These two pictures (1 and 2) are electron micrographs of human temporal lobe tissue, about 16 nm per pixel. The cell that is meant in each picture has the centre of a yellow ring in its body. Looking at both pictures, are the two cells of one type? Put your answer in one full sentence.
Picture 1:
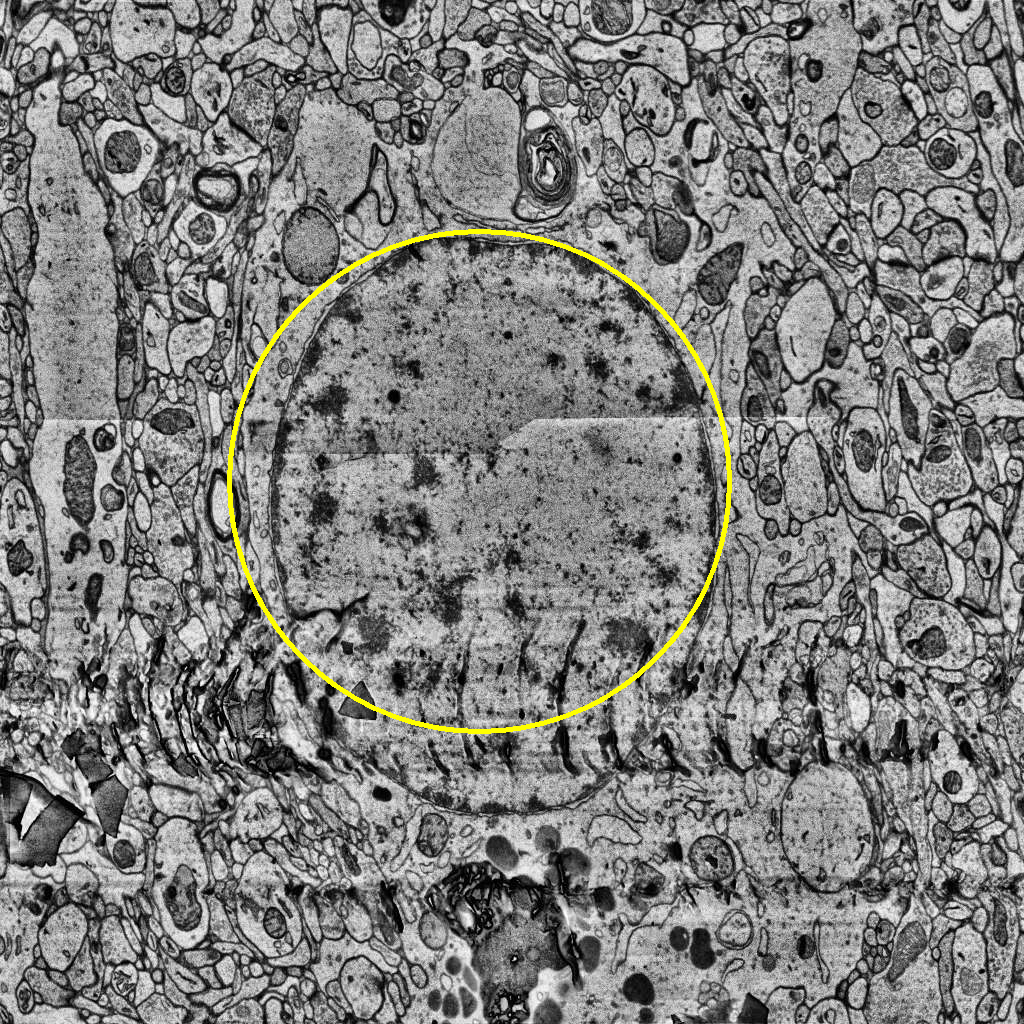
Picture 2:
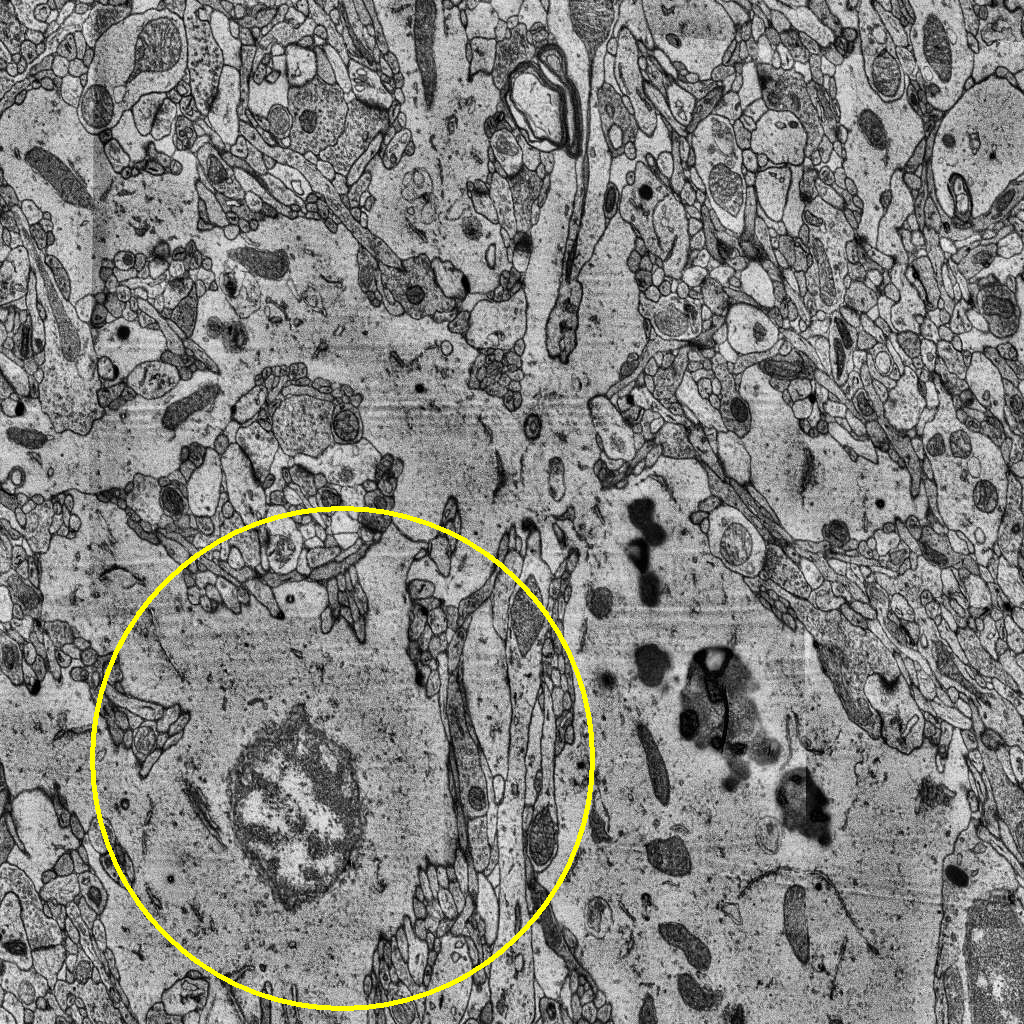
Yes, both are astrocytes.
